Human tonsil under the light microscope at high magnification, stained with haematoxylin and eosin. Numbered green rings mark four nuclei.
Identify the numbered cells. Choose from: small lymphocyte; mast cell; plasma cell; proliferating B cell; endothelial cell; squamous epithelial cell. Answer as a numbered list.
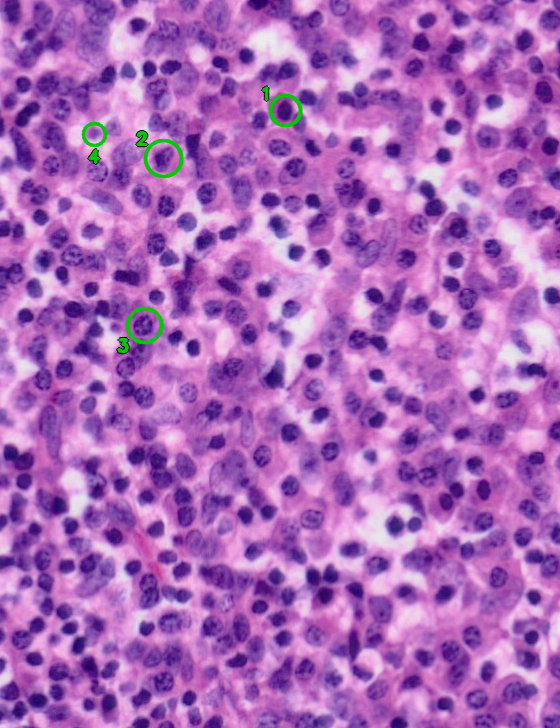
1. plasma cell
2. plasma cell
3. plasma cell
4. squamous epithelial cell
